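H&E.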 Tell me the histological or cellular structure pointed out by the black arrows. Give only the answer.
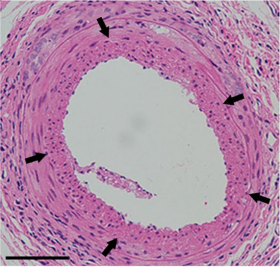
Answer: internal elastic lamina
